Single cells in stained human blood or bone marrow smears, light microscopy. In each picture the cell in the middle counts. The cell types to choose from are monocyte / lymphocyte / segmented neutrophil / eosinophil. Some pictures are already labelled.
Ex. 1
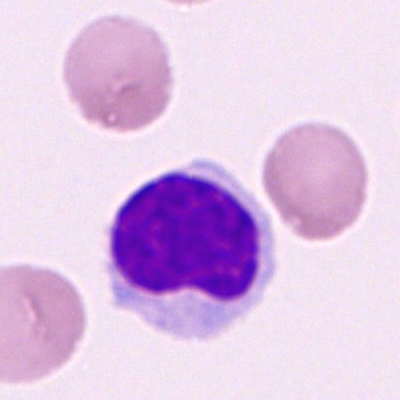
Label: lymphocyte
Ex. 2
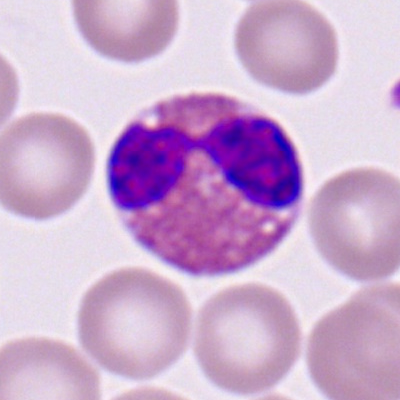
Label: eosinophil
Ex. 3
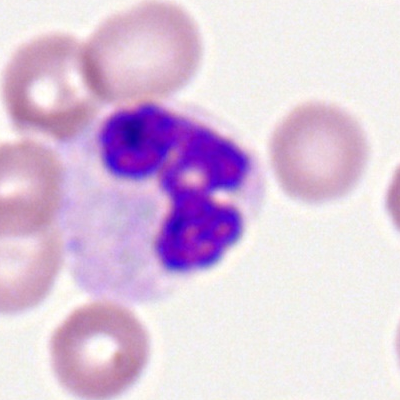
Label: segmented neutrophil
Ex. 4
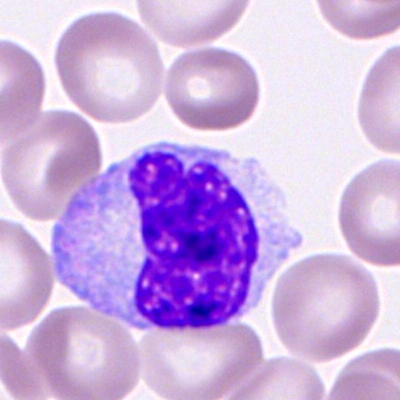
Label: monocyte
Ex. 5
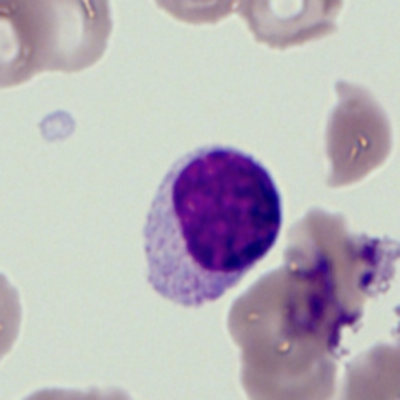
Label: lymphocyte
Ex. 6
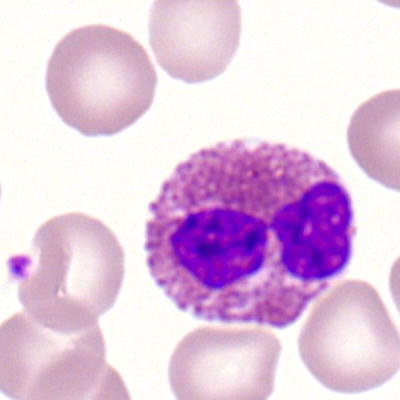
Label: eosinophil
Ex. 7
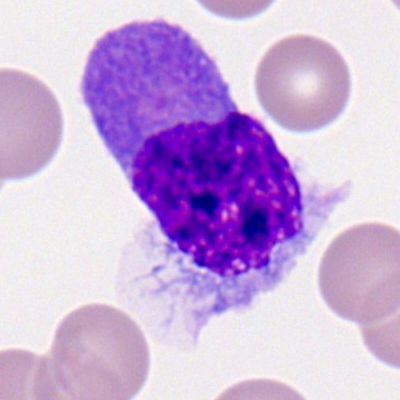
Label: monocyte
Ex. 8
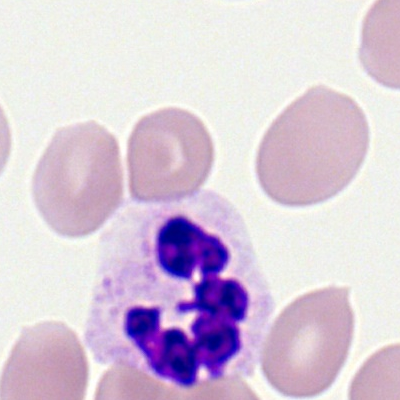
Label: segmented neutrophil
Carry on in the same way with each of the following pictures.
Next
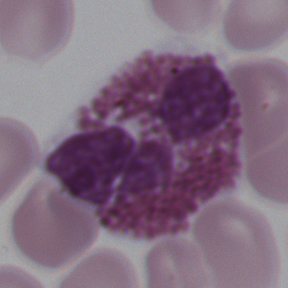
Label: eosinophil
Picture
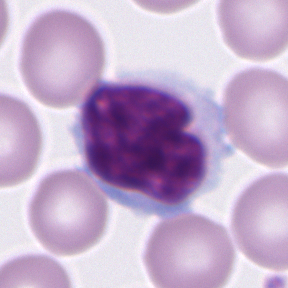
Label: lymphocyte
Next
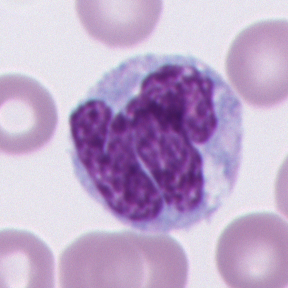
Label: monocyte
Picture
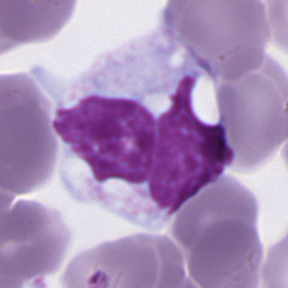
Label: monocyte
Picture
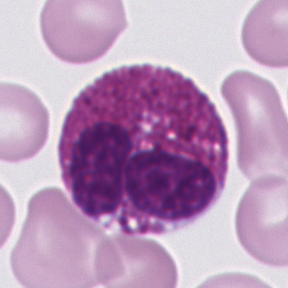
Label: eosinophil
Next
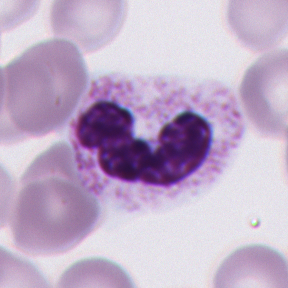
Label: segmented neutrophil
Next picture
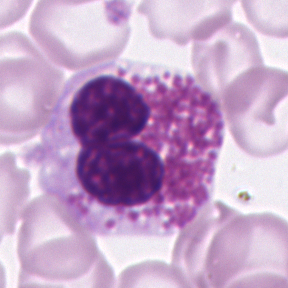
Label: eosinophil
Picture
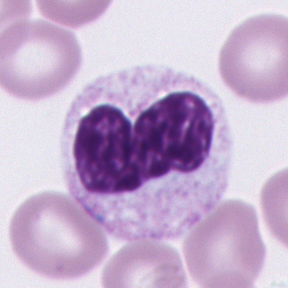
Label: segmented neutrophil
